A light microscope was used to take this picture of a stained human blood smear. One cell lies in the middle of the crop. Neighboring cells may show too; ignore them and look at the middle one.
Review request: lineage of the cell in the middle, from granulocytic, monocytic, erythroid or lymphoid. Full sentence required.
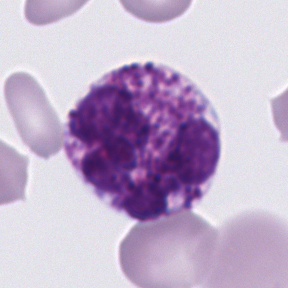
The central cell derives from the granulocytic lineage.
